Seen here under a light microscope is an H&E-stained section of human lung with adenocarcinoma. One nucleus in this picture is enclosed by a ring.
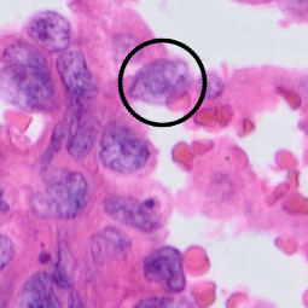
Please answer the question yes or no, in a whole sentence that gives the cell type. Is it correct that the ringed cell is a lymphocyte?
No, the ringed cell is scored as a carcinoma cell and not as a lymphocyte.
